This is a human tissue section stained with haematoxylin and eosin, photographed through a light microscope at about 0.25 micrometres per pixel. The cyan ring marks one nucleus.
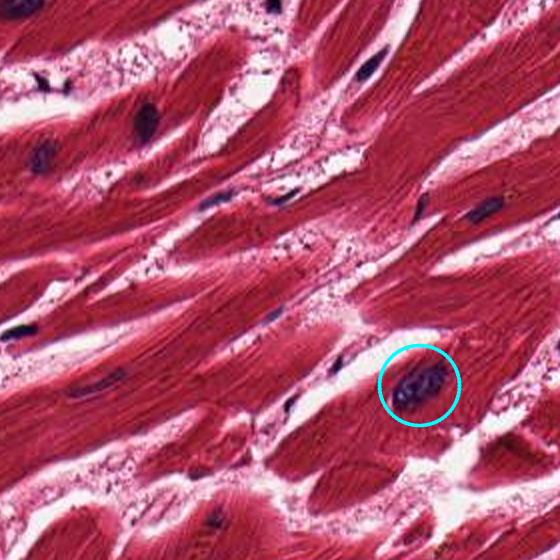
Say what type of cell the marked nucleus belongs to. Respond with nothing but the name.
cardiomyocyte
